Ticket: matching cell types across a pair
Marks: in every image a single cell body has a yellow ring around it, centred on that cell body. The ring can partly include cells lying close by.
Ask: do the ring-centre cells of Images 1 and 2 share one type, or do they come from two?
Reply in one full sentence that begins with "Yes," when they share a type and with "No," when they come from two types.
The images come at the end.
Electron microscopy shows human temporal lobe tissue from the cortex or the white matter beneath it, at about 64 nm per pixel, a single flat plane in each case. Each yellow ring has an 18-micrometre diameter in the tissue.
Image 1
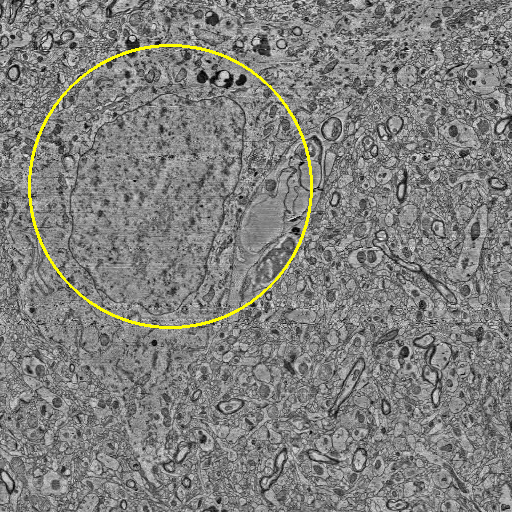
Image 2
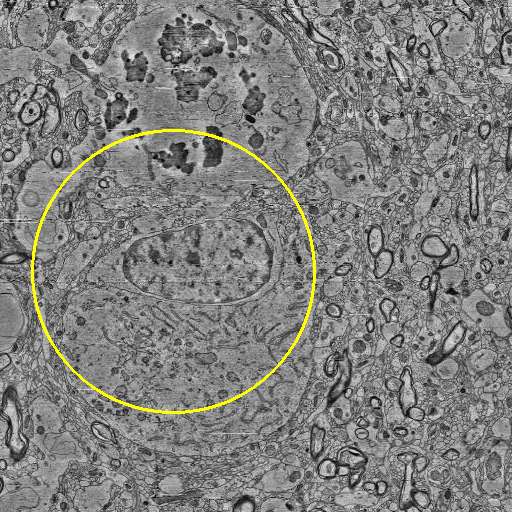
No, the cells in the centres of the rings in Image 1 and Image 2 come from two types.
